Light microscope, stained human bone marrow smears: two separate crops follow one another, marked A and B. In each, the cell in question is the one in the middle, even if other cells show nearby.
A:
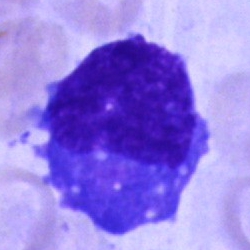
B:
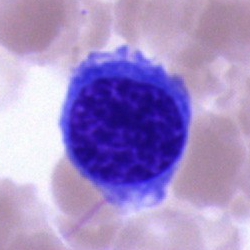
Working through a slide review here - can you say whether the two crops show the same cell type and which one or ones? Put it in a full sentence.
No, it is crop A that shows a blast, and crop B shows an erythroblast.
